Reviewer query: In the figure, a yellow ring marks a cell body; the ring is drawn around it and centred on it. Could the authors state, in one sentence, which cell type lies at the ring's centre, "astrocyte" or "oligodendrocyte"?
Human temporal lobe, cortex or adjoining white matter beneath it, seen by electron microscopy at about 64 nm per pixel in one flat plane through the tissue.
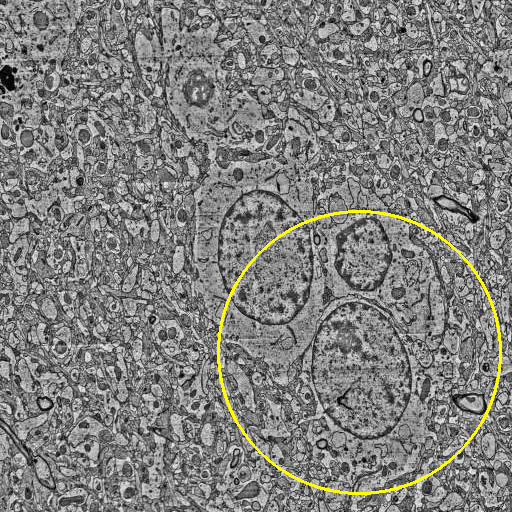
The ring is centred on an astrocyte.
